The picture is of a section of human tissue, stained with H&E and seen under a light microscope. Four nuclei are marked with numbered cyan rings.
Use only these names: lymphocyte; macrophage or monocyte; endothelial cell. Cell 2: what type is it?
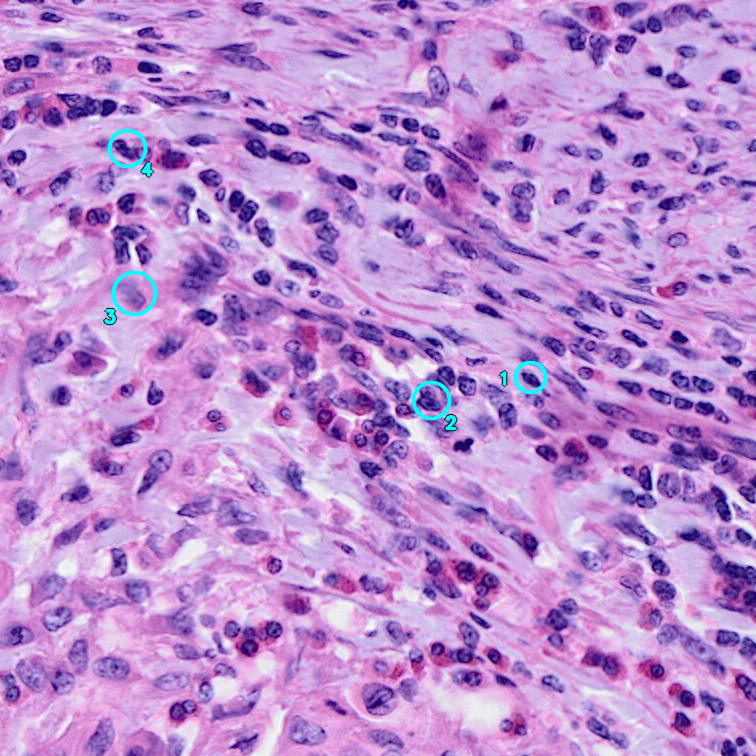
lymphocyte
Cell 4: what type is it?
lymphocyte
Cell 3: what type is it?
endothelial cell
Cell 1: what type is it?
lymphocyte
